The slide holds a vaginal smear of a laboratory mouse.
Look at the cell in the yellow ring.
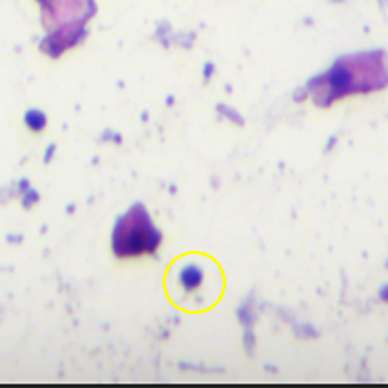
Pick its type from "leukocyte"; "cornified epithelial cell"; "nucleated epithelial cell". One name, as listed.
leukocyte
